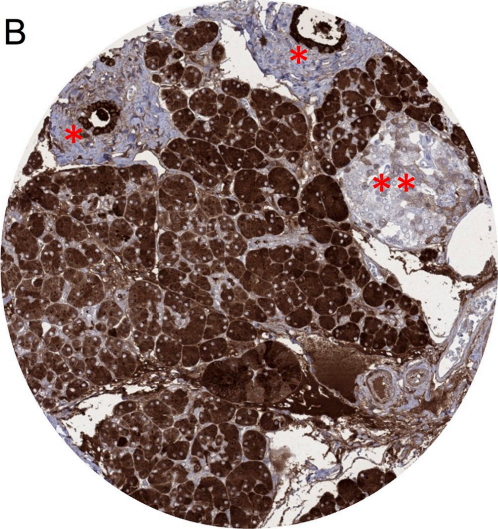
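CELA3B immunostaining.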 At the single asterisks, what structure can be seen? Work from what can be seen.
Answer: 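Each single asterisk lies beside a small round lumen lined by epithelium. These lumens sit within pale blue fibrous stroma outside the lobules.
Answer: pancreatic ducts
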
